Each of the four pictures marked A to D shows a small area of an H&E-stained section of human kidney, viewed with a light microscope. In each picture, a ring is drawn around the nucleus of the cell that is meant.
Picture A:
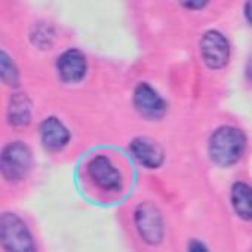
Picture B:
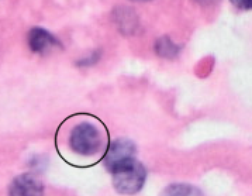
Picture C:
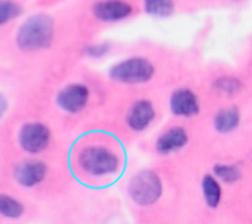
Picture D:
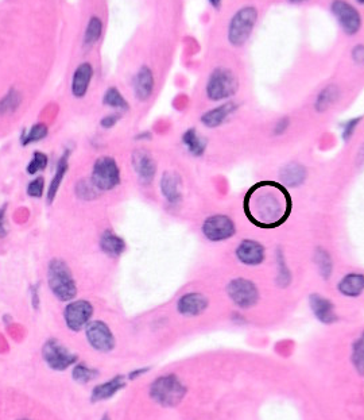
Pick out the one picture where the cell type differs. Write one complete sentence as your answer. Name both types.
All pictures except D show “loop of Henle or distal tubule cells”; picture D shows a collecting duct cell.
